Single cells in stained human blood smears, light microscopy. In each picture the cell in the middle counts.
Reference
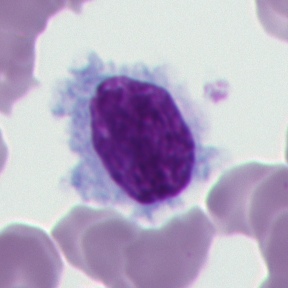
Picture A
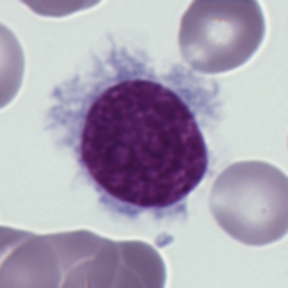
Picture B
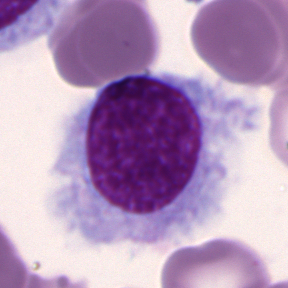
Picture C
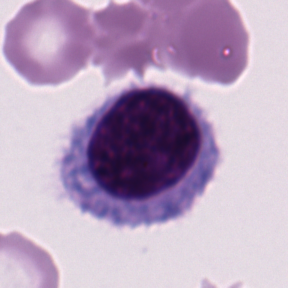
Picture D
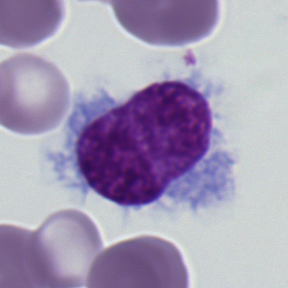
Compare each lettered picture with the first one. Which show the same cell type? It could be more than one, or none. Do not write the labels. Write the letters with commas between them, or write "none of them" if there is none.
A, B, C, D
